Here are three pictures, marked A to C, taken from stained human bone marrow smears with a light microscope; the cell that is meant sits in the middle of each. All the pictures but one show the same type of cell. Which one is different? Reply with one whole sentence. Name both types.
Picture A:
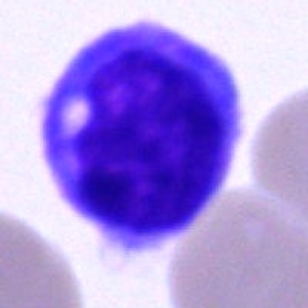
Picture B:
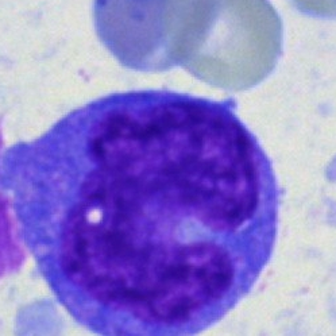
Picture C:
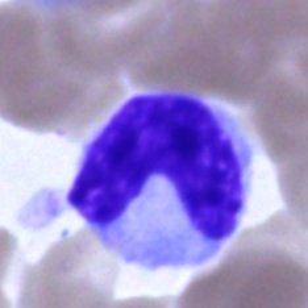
Picture C differs, because its cell is a band neutrophil and the rest are monocytes.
